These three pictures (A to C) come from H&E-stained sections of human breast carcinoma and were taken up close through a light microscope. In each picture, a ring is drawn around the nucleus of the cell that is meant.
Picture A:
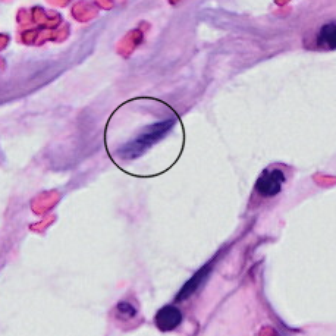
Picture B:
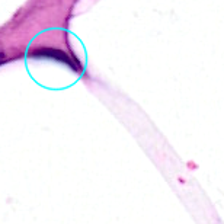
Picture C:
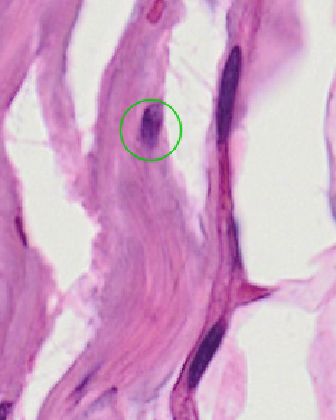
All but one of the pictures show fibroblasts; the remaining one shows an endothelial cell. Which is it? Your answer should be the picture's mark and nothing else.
B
